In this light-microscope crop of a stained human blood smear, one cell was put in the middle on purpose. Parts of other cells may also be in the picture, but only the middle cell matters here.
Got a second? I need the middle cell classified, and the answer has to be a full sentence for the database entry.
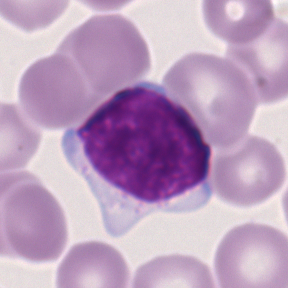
This particular crop is centered on a large granular lymphocyte.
